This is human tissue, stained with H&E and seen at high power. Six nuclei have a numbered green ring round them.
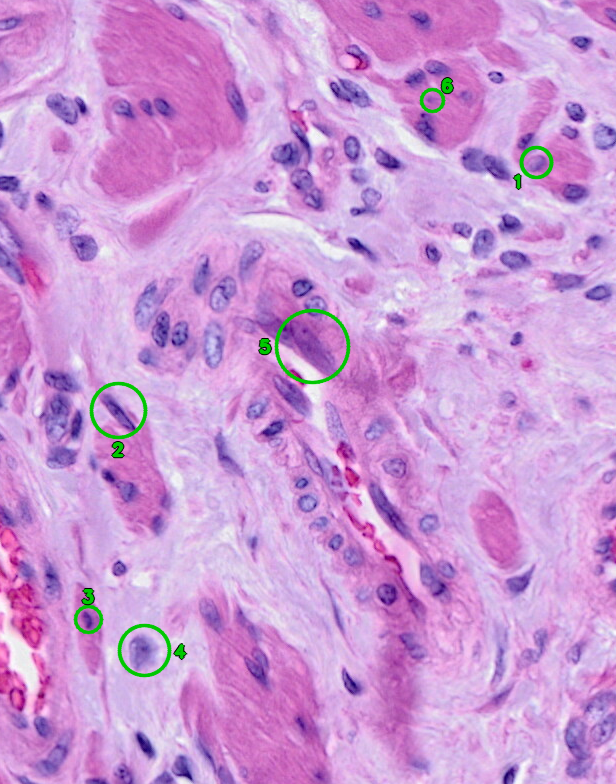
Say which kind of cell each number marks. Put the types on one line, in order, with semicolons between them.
smooth muscle cell; smooth muscle cell; smooth muscle cell; fibroblast; endothelial cell; smooth muscle cell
